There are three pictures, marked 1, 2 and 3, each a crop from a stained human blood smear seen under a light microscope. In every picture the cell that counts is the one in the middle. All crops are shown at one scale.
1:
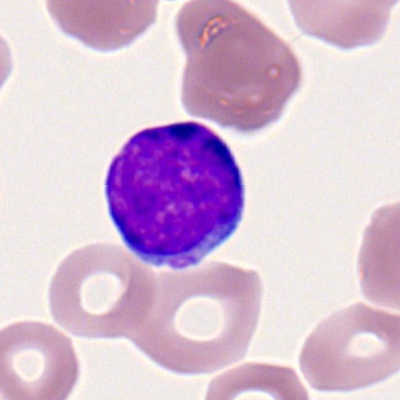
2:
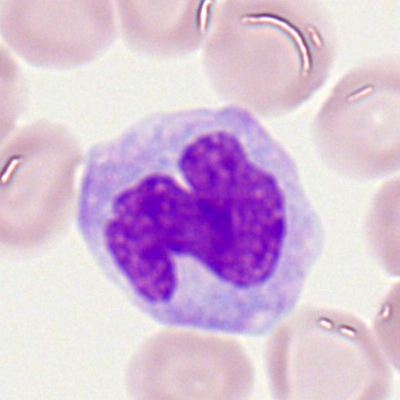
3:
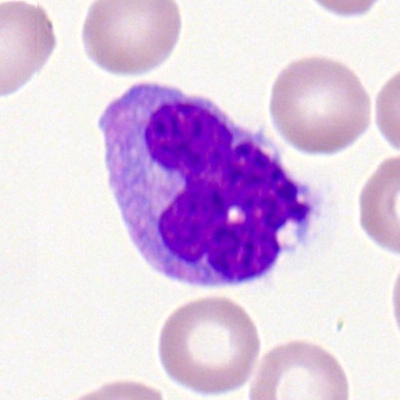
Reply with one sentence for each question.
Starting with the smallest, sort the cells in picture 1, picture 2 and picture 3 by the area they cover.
Going up, they run 1, 3, 2.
